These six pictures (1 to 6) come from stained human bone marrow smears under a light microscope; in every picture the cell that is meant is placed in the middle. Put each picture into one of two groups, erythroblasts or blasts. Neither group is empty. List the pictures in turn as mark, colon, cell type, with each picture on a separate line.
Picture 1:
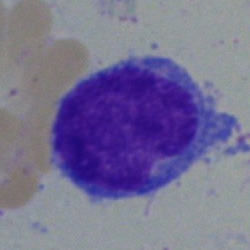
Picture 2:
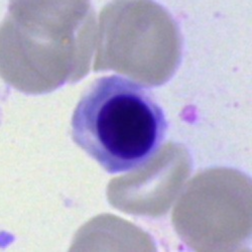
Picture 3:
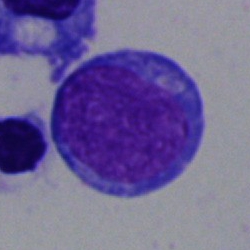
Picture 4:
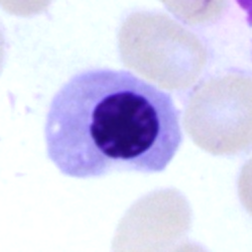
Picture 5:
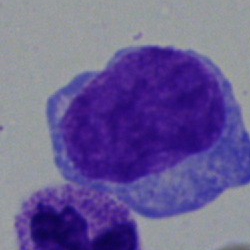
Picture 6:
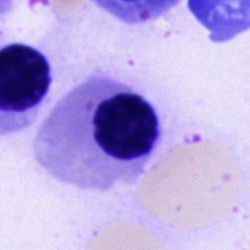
1: blast
2: erythroblast
3: blast
4: erythroblast
5: blast
6: erythroblast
